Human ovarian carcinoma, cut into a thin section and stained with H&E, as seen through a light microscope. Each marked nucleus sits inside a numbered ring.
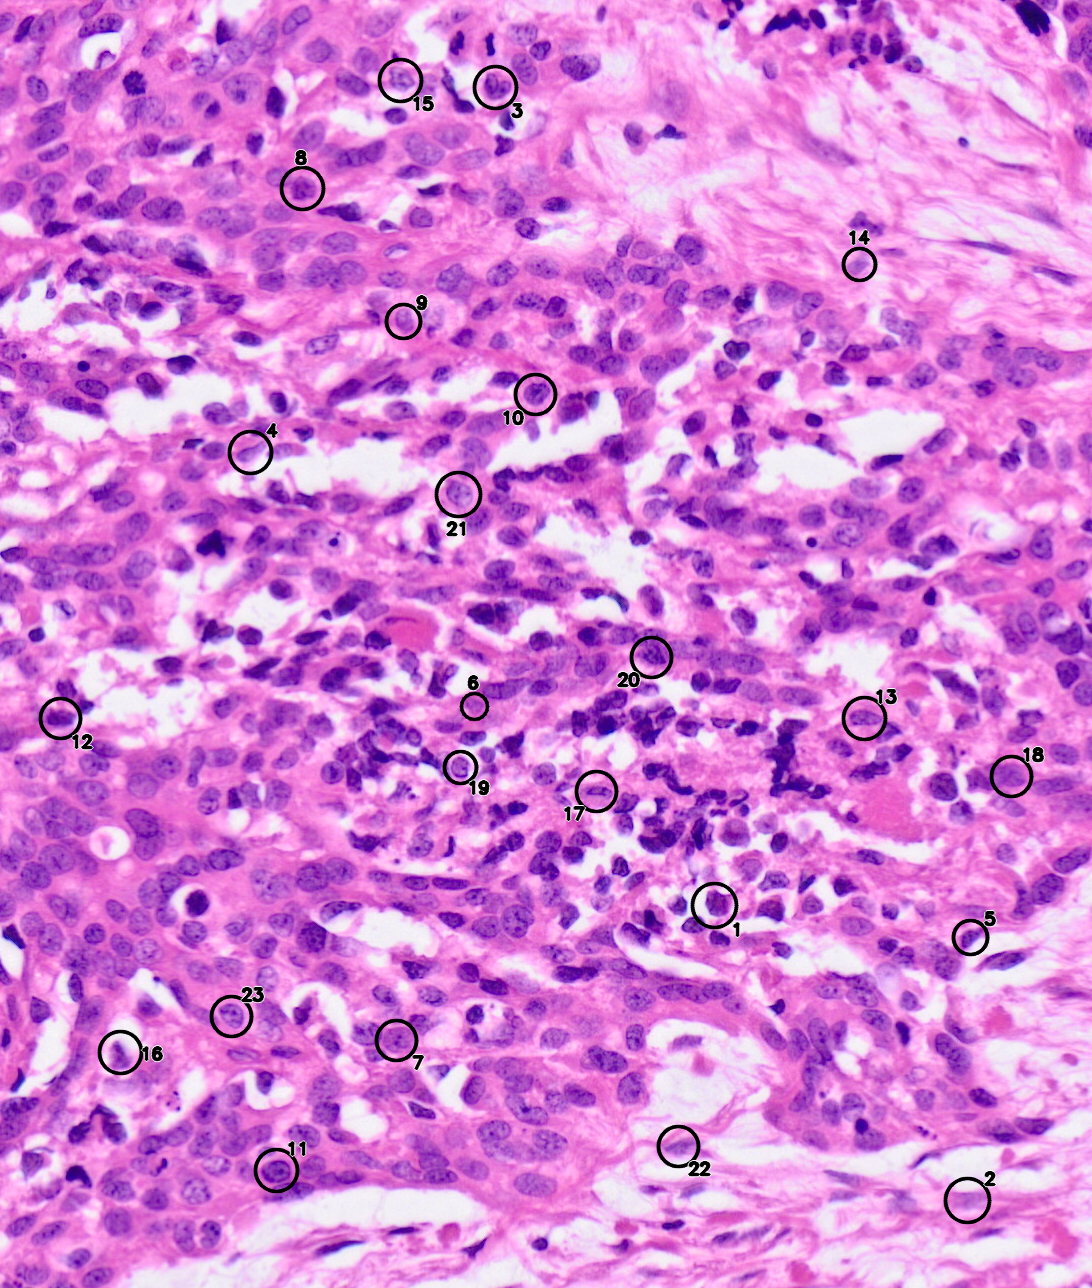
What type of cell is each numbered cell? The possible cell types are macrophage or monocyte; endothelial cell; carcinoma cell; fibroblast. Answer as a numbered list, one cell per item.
1. carcinoma cell
2. fibroblast
3. macrophage or monocyte
4. macrophage or monocyte
5. carcinoma cell
6. carcinoma cell
7. carcinoma cell
8. carcinoma cell
9. macrophage or monocyte
10. macrophage or monocyte
11. carcinoma cell
12. carcinoma cell
13. macrophage or monocyte
14. fibroblast
15. macrophage or monocyte
16. carcinoma cell
17. macrophage or monocyte
18. carcinoma cell
19. macrophage or monocyte
20. macrophage or monocyte
21. macrophage or monocyte
22. fibroblast
23. macrophage or monocyte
